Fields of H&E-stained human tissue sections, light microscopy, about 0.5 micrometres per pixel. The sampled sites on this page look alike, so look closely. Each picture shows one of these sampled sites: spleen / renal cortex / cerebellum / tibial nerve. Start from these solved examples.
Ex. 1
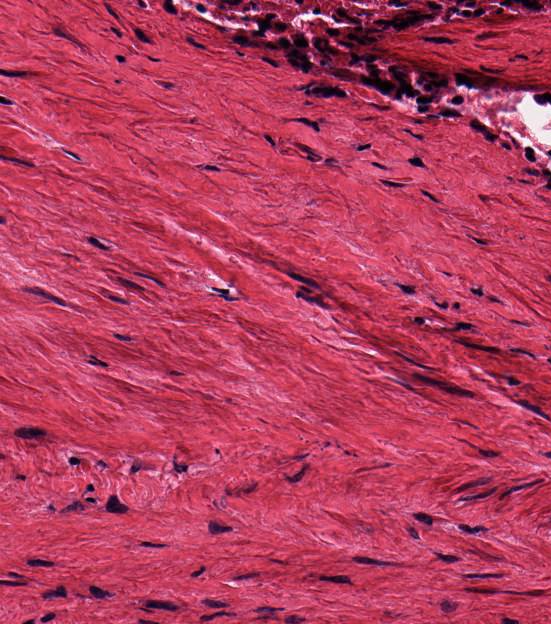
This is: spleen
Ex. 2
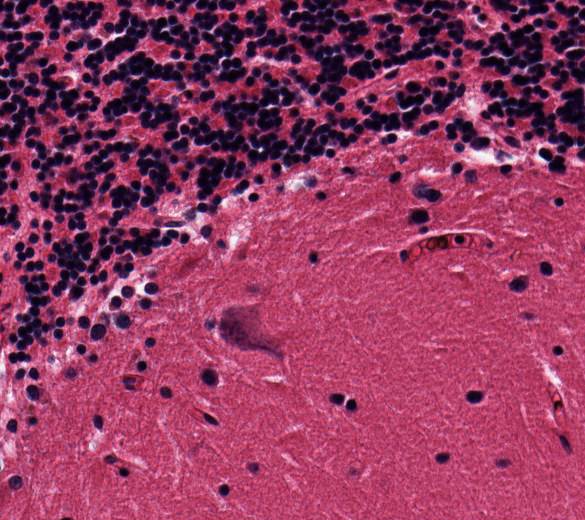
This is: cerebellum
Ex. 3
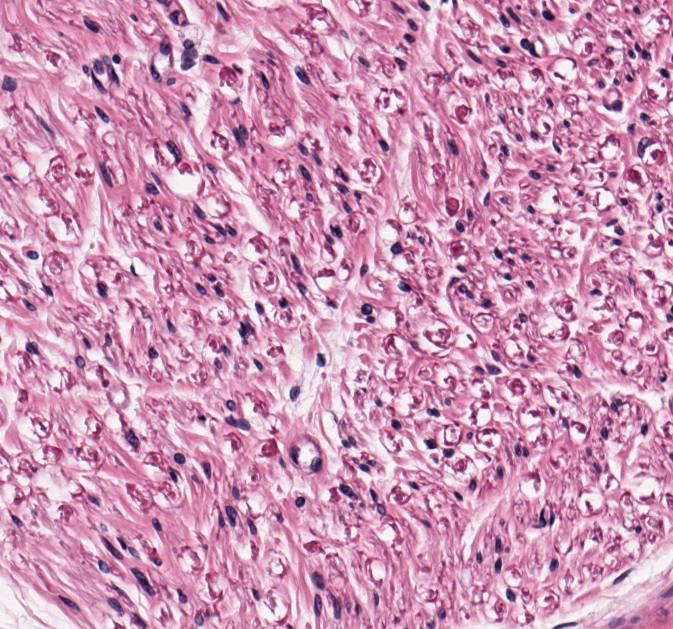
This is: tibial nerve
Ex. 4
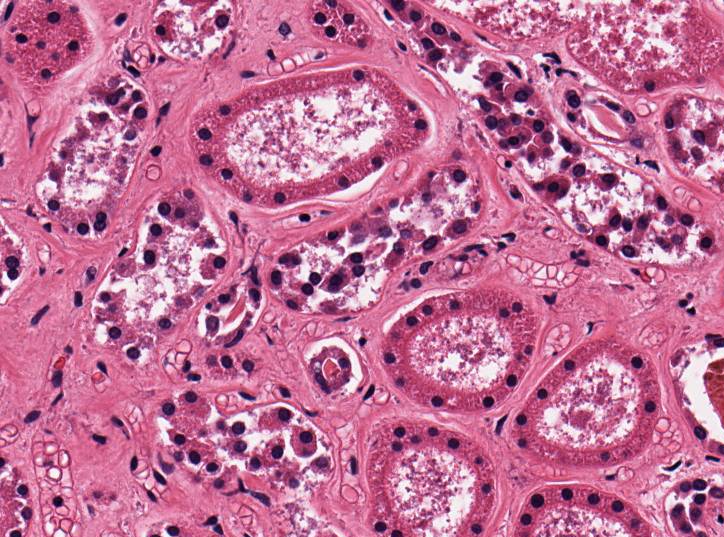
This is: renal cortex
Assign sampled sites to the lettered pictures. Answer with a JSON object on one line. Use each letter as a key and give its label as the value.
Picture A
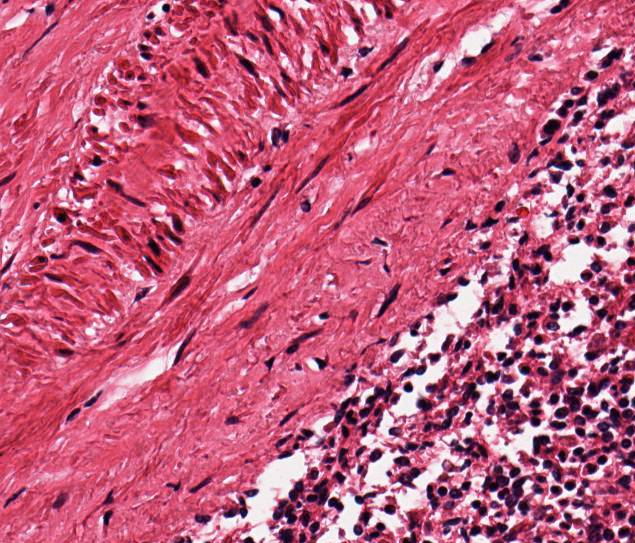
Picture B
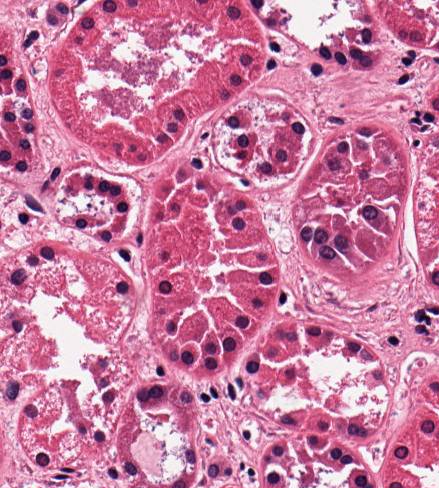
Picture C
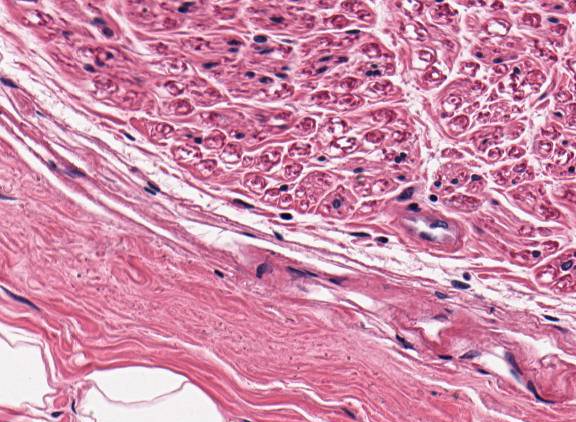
{"A": "spleen", "B": "renal cortex", "C": "tibial nerve"}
